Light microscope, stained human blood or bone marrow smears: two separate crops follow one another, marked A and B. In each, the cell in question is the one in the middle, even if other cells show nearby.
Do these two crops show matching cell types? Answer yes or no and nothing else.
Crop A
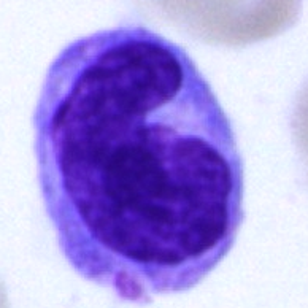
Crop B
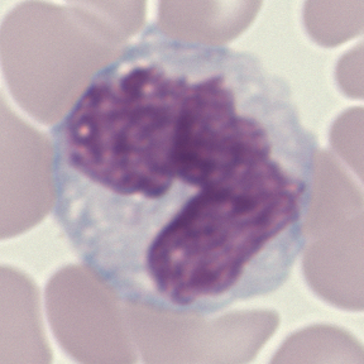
yes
